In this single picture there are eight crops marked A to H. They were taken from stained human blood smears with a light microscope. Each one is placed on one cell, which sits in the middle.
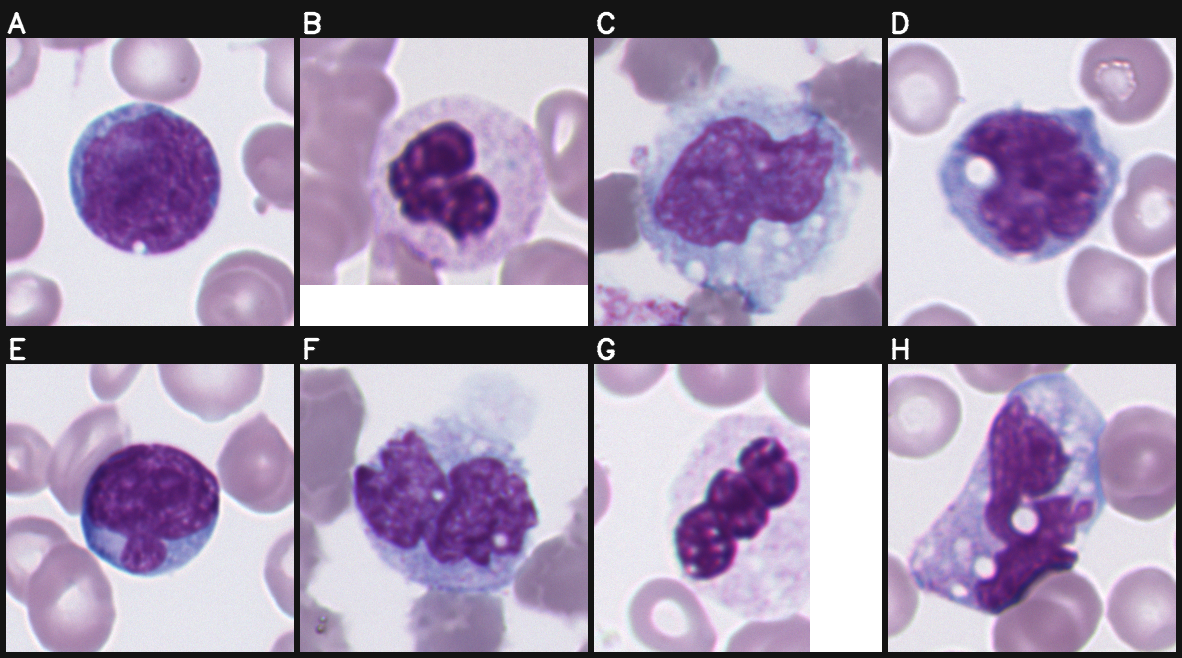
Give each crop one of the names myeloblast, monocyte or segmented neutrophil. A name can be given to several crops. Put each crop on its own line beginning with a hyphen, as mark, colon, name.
- A: myeloblast
- B: segmented neutrophil
- C: monocyte
- D: myeloblast
- E: myeloblast
- F: monocyte
- G: segmented neutrophil
- H: monocyte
